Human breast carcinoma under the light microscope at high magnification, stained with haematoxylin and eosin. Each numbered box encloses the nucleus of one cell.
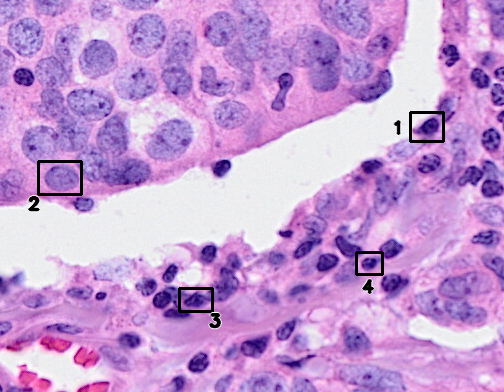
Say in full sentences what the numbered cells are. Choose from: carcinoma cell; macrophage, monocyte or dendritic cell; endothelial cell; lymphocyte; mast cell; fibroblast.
Cells 1, 3 and 4 are lymphocytes. Cell 2 is a carcinoma cell.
